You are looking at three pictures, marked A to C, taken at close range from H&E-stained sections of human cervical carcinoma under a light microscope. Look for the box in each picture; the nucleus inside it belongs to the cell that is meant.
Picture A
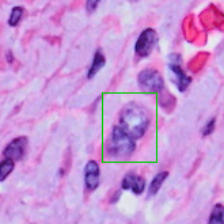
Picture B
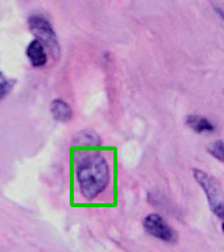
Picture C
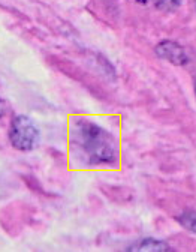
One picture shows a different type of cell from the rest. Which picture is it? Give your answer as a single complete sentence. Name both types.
The others show endothelial cells, but picture C shows a fibroblast.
